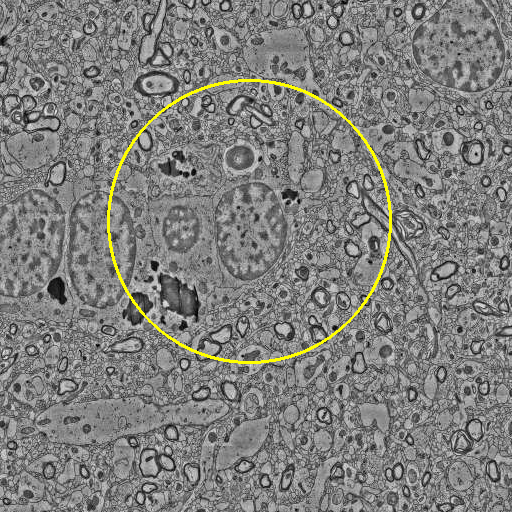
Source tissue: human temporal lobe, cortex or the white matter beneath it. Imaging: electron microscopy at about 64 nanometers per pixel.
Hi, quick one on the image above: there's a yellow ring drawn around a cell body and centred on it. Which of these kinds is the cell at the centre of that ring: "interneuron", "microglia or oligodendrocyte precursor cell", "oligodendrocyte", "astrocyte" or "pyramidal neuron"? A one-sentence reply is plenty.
The cell at the centre of the ring is an oligodendrocyte.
